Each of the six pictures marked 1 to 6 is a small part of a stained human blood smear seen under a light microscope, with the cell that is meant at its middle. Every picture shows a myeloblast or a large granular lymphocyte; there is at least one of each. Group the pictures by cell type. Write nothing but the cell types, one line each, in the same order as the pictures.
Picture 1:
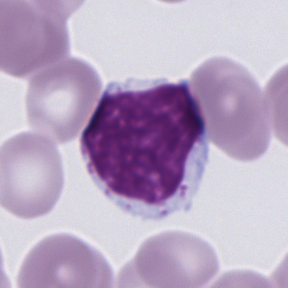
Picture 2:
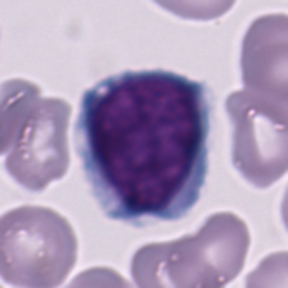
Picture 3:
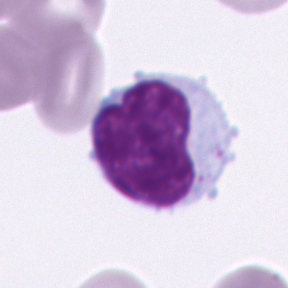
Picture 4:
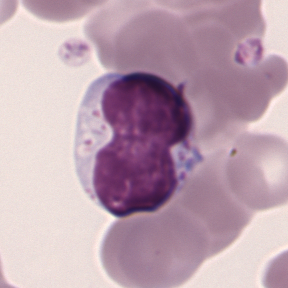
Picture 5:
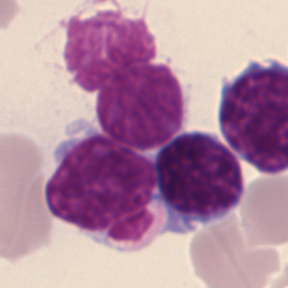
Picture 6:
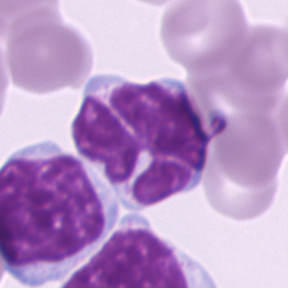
large granular lymphocyte
myeloblast
large granular lymphocyte
large granular lymphocyte
myeloblast
large granular lymphocyte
